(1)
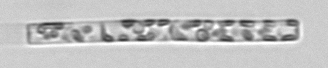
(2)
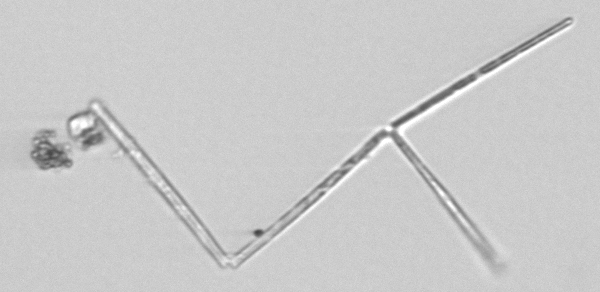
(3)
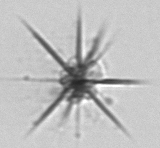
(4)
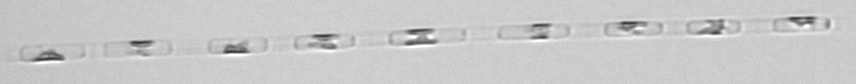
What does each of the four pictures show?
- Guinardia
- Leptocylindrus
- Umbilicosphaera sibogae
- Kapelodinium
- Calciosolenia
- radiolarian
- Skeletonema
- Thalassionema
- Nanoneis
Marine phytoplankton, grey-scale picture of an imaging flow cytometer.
(1) Leptocylindrus
(2) Thalassionema
(3) radiolarian
(4) Skeletonema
